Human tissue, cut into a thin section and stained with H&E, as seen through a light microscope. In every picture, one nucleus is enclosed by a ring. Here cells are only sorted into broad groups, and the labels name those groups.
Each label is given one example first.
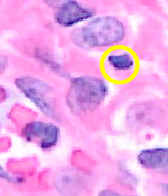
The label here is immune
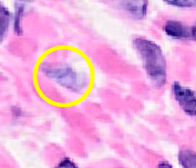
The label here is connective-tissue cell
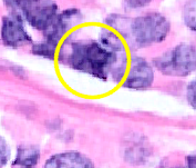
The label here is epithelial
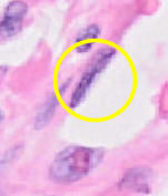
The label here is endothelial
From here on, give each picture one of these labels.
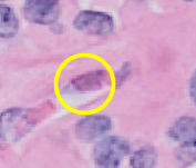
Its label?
endothelial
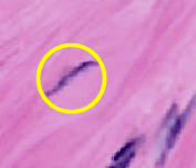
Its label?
connective-tissue cell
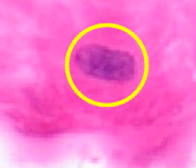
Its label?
connective-tissue cell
